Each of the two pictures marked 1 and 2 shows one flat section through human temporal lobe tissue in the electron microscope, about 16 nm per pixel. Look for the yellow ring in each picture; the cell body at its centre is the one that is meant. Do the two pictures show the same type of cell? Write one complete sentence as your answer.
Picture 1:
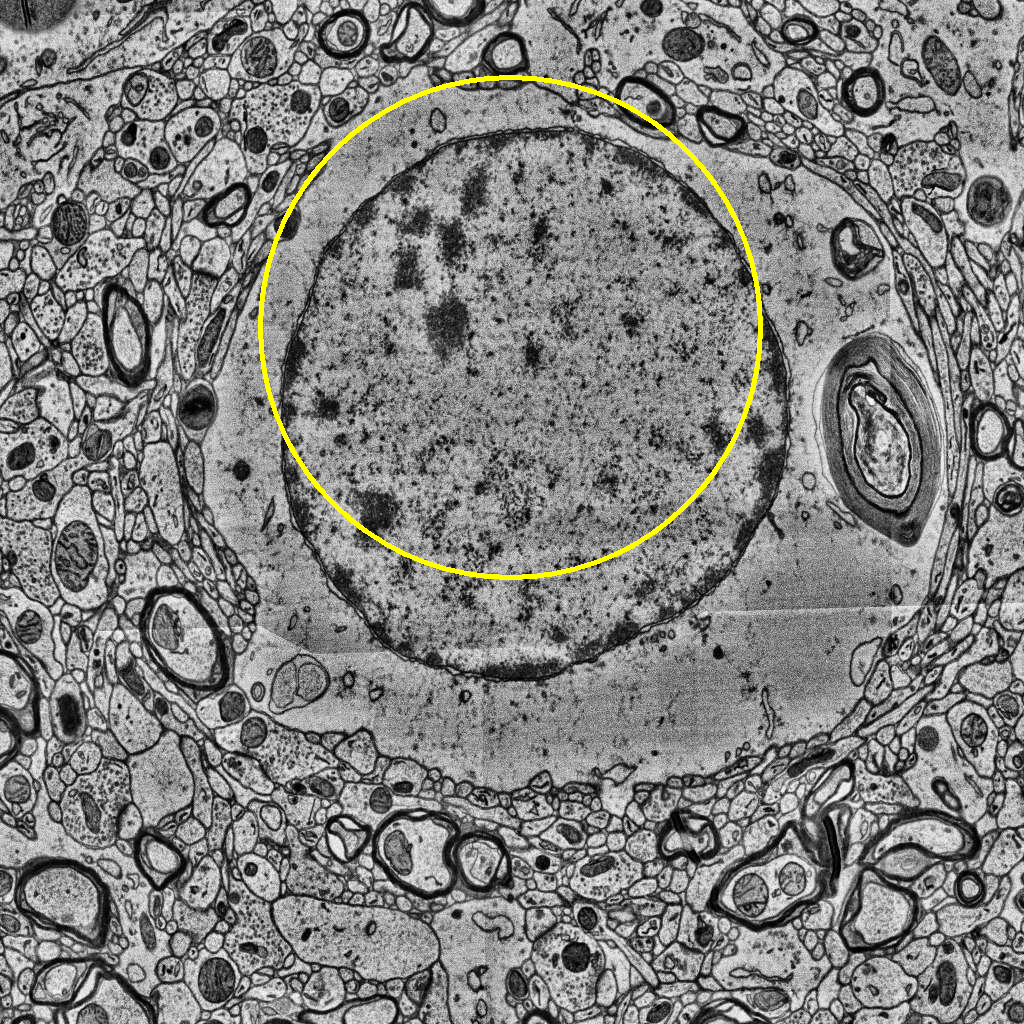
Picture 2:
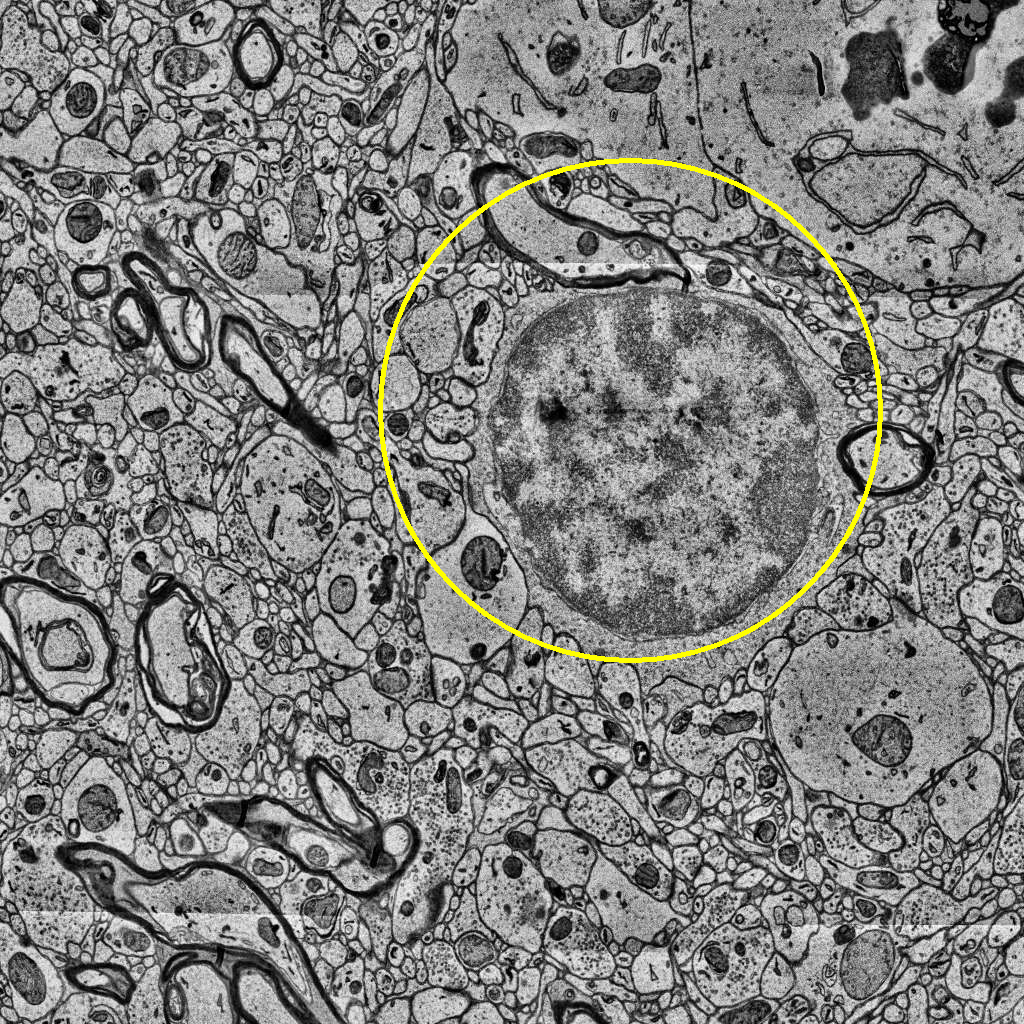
No, the types are not the same, since picture 1 shows an astrocyte and picture 2 an oligodendrocyte.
